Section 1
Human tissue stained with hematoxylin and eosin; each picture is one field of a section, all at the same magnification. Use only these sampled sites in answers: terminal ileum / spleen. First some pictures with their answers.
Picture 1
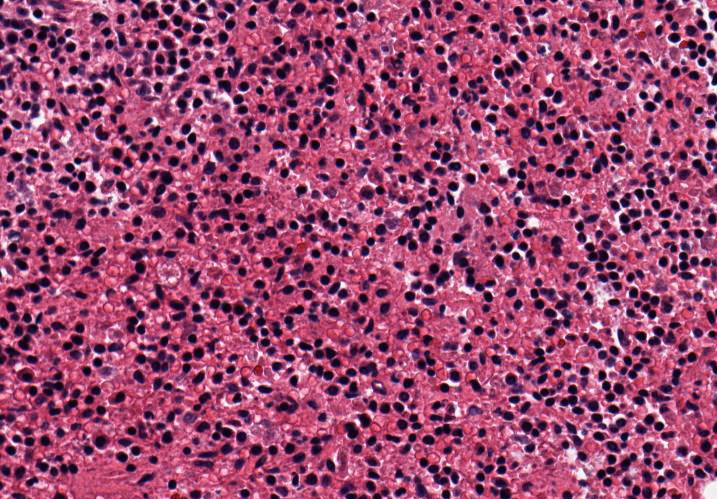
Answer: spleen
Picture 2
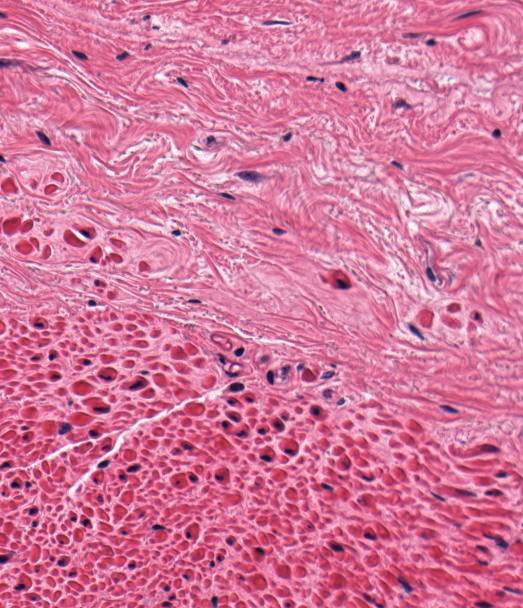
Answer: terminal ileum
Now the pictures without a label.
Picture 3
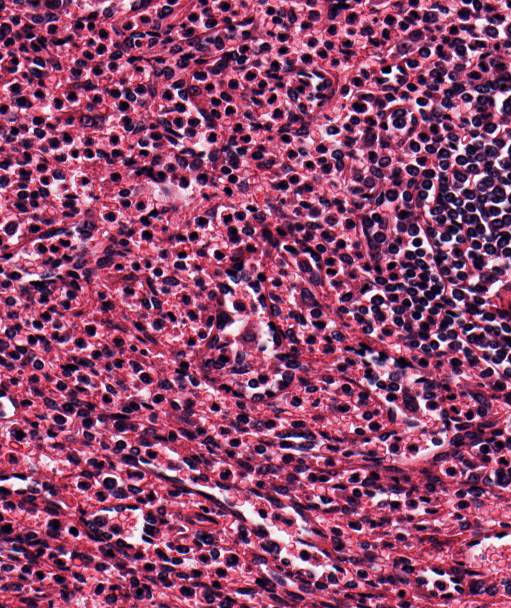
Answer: spleen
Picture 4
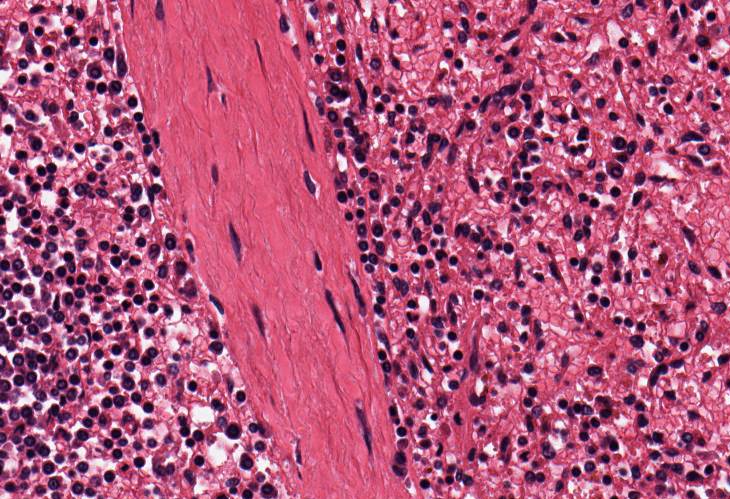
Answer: spleen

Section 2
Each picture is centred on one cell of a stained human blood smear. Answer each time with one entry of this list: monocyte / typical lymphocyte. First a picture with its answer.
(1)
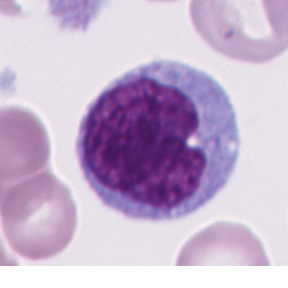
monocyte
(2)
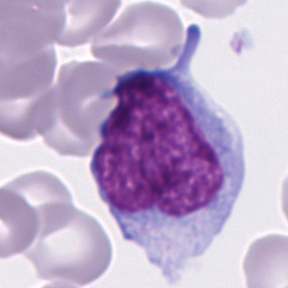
monocyte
